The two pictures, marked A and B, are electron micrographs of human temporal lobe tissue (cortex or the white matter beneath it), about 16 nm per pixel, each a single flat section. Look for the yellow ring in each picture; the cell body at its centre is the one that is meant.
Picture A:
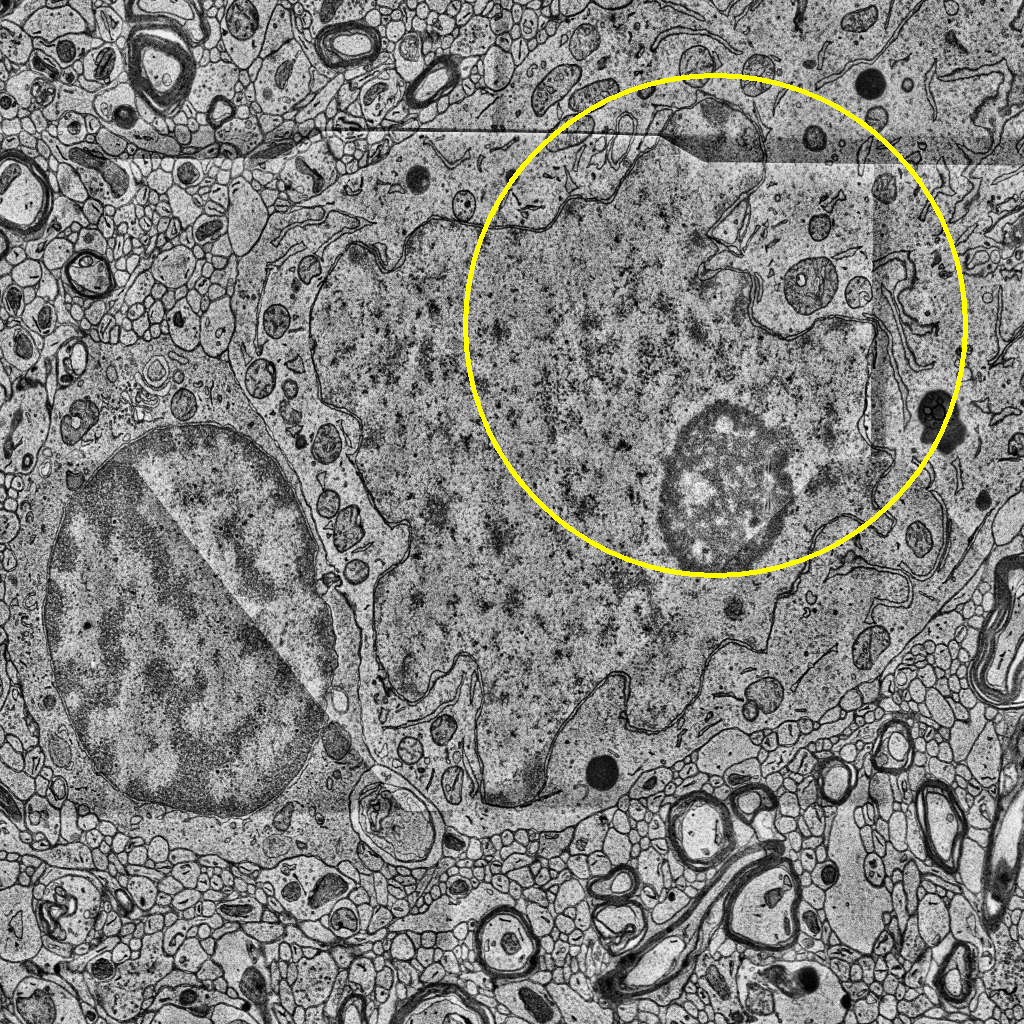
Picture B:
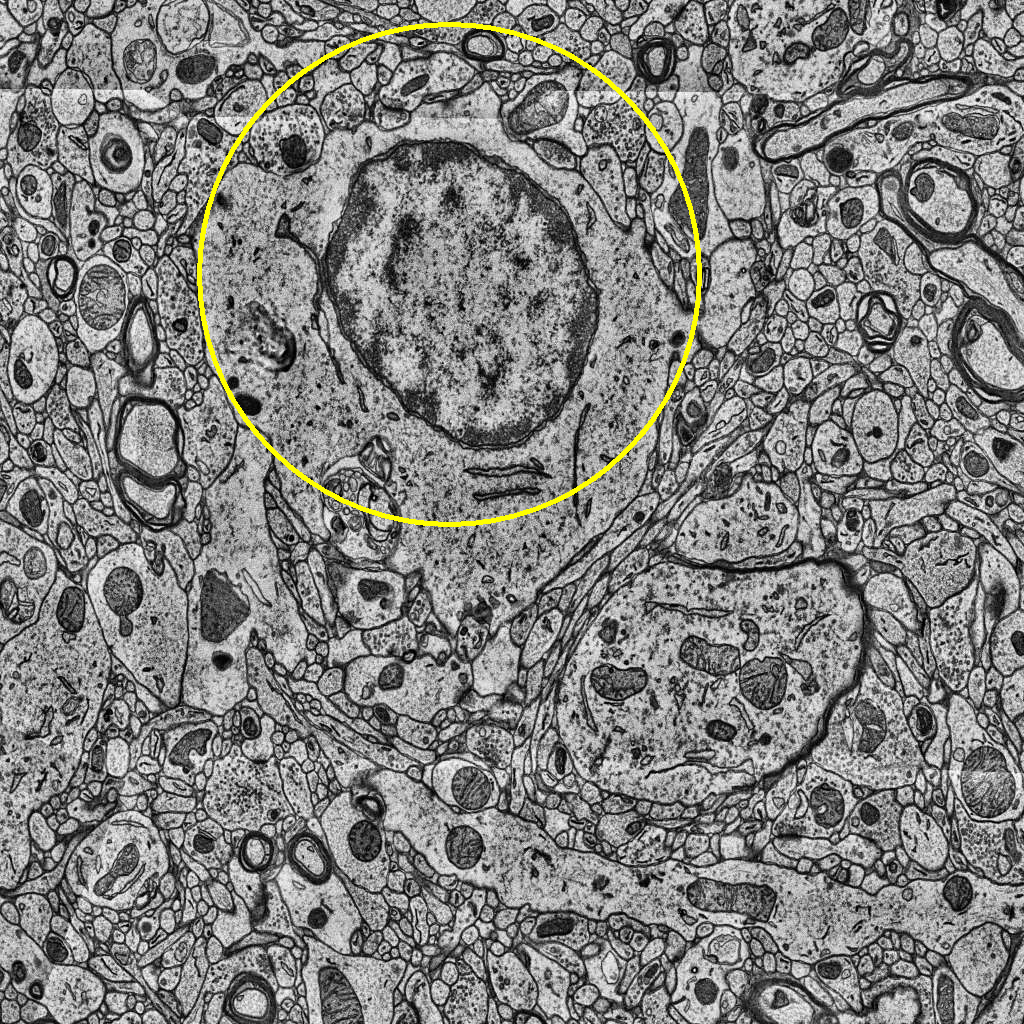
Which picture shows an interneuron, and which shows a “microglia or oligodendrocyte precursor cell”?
Picture A shows an interneuron and picture B shows a “microglia or oligodendrocyte precursor cell”.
